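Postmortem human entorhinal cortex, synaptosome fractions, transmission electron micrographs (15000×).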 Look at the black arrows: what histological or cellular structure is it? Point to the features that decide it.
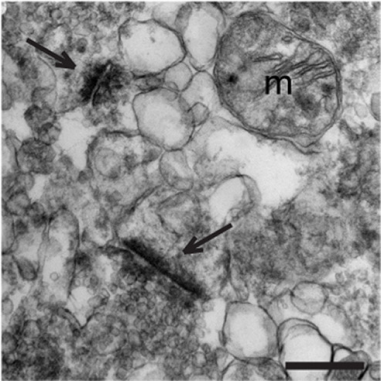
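Synapses. The dense bands lie where membrane-bound profiles meet.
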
